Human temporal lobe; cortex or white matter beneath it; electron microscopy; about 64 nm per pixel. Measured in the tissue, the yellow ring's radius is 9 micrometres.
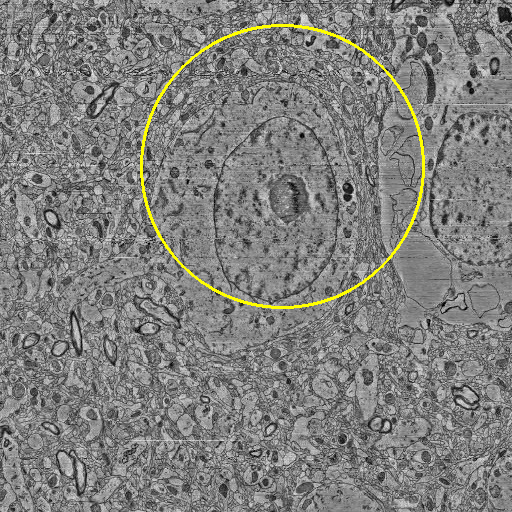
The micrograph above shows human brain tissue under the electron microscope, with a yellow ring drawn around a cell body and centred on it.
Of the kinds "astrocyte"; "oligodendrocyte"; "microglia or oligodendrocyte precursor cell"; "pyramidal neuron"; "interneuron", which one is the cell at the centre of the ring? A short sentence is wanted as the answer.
The one at the centre of the ring is a pyramidal neuron.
